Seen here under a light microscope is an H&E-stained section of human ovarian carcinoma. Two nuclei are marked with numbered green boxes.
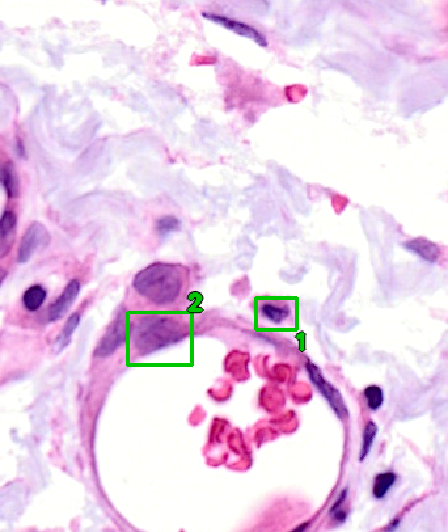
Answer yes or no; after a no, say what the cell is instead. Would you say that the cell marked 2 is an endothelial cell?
Yes.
